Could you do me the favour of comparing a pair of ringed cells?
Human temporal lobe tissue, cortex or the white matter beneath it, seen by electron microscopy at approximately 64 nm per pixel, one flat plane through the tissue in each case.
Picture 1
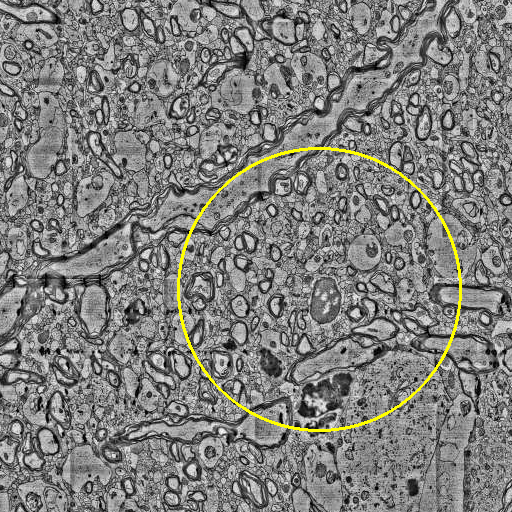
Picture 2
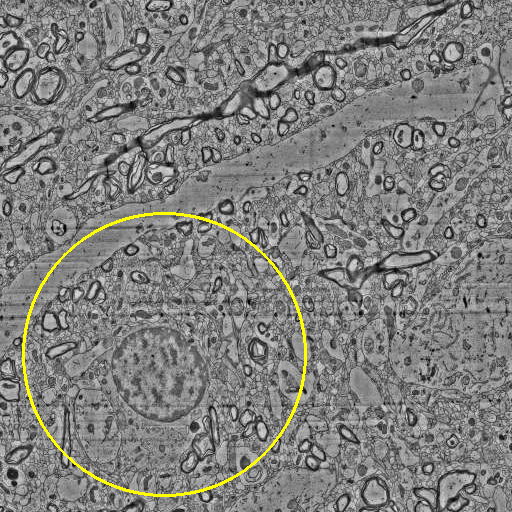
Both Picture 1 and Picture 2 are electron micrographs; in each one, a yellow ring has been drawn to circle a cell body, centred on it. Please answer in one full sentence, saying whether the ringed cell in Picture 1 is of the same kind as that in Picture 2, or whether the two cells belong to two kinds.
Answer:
The ringed cells in Picture 1 and Picture 2 belong to two kinds.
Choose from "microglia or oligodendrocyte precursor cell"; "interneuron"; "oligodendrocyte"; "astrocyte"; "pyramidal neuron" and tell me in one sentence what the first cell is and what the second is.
What the first ring is centred on is a microglial cell or oligodendrocyte precursor cell; what the second ring is centred on is an oligodendrocyte.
